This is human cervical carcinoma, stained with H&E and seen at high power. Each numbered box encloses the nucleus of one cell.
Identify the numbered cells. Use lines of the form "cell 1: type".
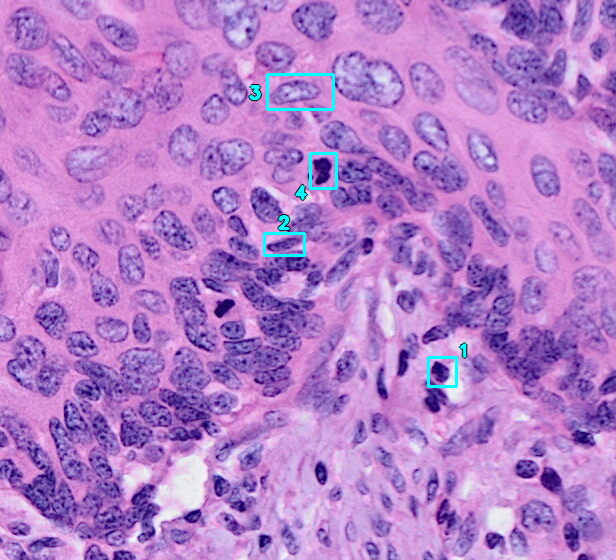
cell 1: lymphocyte
cell 2: squamous carcinoma cell
cell 3: squamous carcinoma cell
cell 4: squamous carcinoma cell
